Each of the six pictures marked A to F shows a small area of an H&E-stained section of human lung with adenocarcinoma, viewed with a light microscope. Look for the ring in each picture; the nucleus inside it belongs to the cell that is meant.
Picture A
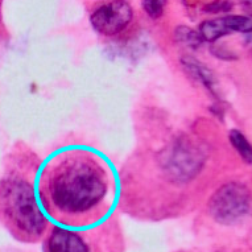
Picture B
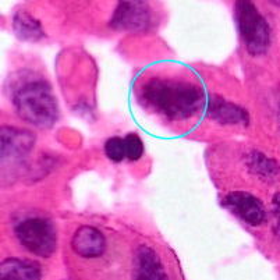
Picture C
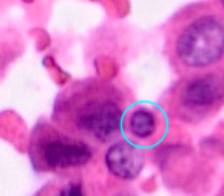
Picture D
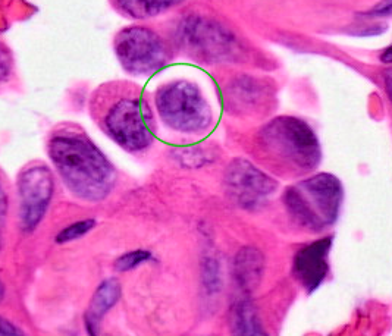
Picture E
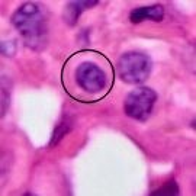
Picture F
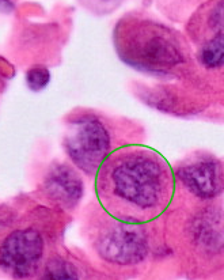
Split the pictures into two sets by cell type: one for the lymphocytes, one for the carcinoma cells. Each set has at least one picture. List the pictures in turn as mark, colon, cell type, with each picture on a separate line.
A: carcinoma cell
B: carcinoma cell
C: lymphocyte
D: carcinoma cell
E: lymphocyte
F: carcinoma cell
